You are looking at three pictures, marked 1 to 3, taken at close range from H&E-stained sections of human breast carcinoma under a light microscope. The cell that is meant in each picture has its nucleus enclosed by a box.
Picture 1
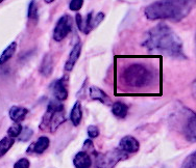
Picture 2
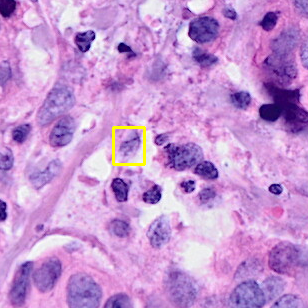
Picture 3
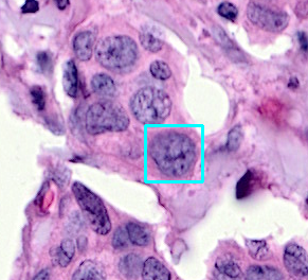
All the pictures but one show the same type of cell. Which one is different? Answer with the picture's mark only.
2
